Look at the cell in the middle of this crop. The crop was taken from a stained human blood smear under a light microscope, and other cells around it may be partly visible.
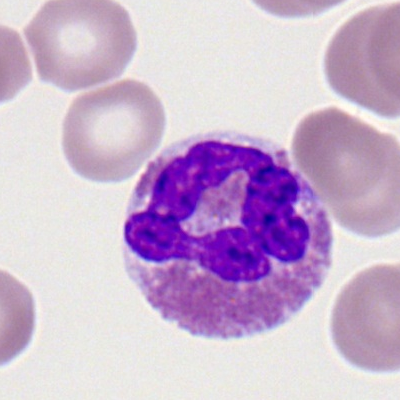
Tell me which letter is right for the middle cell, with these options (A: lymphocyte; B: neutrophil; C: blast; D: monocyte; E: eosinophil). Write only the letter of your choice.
E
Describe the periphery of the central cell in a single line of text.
Its periphery is smooth, and no projections arise from it.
